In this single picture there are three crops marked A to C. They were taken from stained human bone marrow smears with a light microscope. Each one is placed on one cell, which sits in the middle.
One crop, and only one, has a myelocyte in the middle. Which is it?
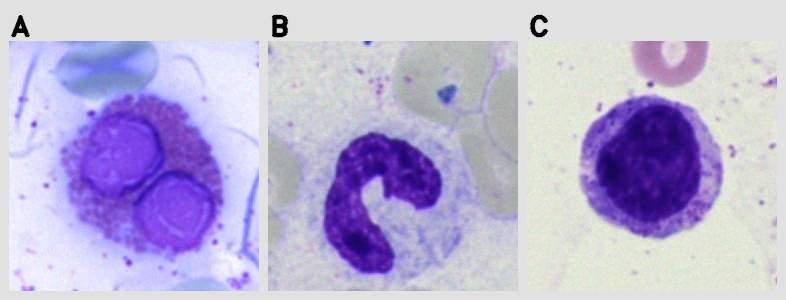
C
